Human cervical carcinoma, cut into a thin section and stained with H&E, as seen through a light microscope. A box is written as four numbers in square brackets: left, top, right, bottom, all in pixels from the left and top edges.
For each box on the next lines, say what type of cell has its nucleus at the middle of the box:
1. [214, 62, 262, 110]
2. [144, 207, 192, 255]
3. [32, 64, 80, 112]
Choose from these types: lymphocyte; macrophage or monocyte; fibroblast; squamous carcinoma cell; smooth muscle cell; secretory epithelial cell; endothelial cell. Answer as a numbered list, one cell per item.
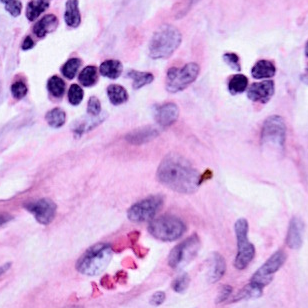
1. lymphocyte
2. endothelial cell
3. lymphocyte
